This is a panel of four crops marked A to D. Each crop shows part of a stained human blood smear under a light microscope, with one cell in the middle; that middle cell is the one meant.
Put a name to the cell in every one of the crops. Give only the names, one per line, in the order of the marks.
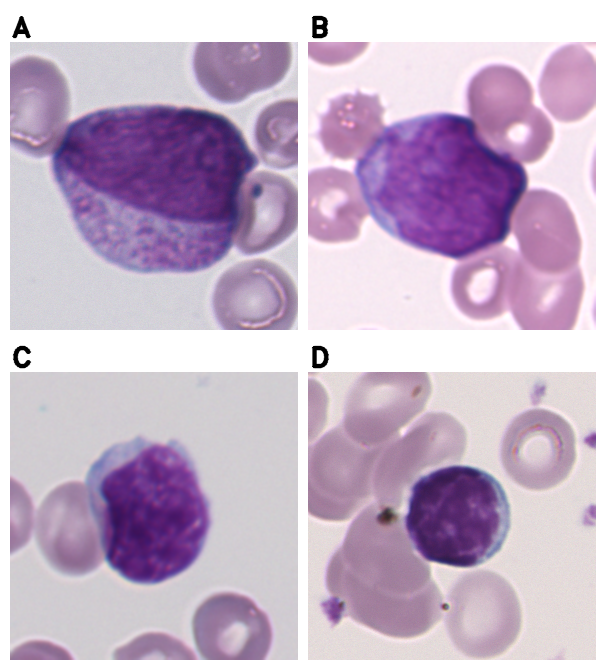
atypical promyelocyte
atypical promyelocyte
typical lymphocyte
typical lymphocyte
